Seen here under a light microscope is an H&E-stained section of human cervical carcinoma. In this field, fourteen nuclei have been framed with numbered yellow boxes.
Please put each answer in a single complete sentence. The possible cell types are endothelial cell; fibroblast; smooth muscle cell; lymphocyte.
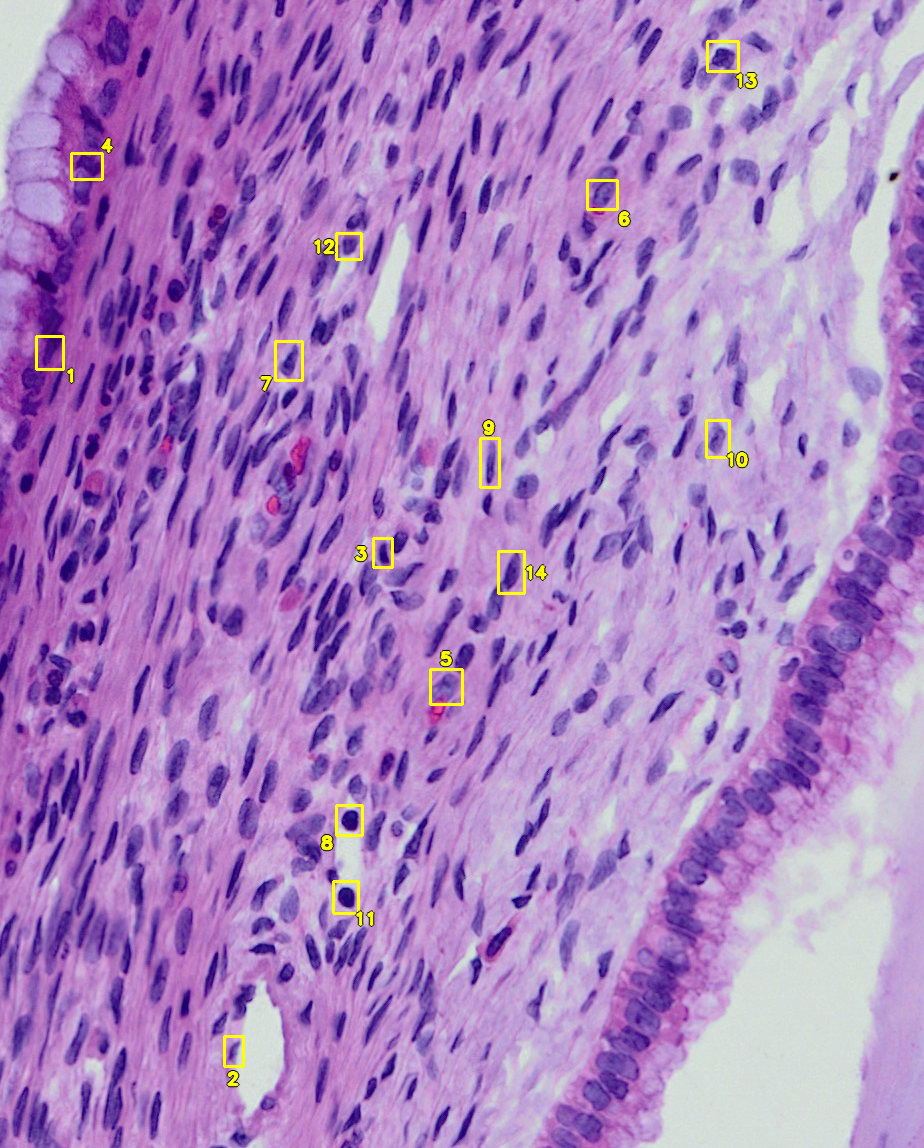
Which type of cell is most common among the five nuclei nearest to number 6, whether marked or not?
Most of the five nuclei nearest to number 6 are those of fibroblasts.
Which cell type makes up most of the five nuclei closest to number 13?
Of the five nuclei nearest to number 13, most belong to fibroblasts.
